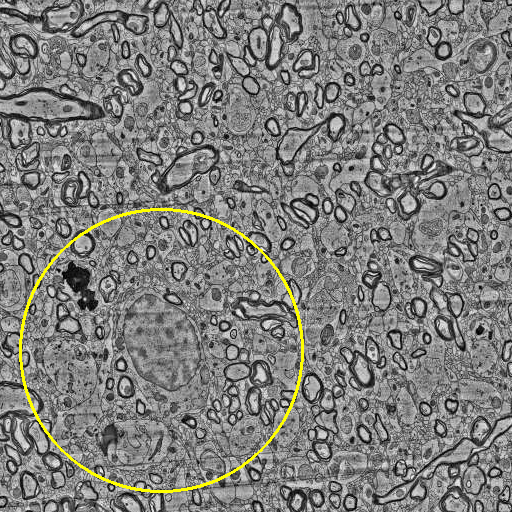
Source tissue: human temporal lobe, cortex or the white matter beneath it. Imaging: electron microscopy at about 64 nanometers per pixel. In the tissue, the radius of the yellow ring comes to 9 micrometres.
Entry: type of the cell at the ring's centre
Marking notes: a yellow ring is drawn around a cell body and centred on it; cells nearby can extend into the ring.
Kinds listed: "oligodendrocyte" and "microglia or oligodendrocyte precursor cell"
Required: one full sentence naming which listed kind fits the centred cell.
My entry names an oligodendrocyte as the cell whose body the yellow ring centres on.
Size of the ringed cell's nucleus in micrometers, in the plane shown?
The ringed cell's nucleus is about 6 micrometres long and 5 micrometres wide in this plane.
